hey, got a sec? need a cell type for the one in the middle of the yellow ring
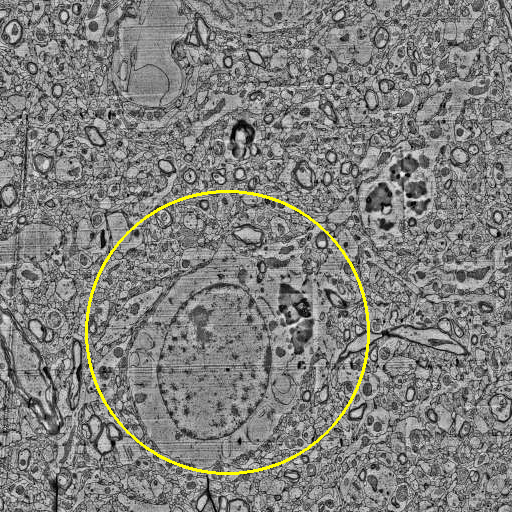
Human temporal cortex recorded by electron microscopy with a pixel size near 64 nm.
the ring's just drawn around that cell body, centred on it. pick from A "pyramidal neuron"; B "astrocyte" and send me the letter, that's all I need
B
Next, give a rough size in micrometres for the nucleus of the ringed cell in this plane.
Approximately 10 x 7 micrometres in this plane.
